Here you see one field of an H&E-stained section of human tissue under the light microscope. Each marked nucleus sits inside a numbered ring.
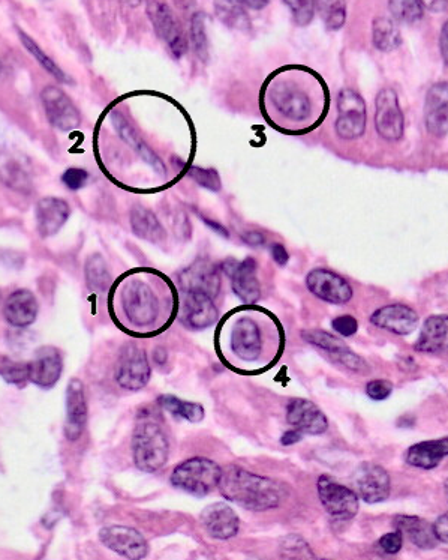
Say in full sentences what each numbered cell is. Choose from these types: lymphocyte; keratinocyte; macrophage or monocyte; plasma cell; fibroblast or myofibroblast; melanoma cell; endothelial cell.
Cells 1, 3 and 4 are melanoma cells. Cell 2 is a macrophage or monocyte.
